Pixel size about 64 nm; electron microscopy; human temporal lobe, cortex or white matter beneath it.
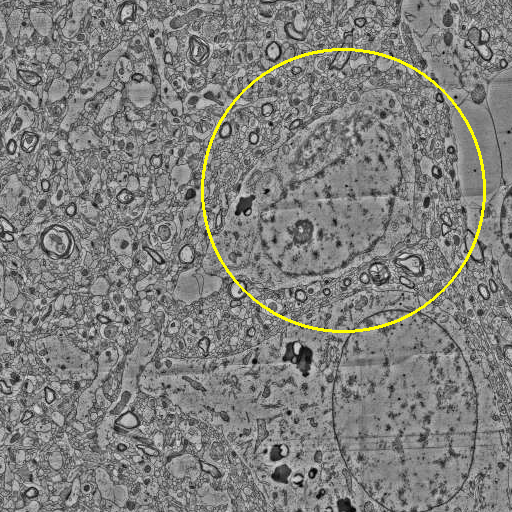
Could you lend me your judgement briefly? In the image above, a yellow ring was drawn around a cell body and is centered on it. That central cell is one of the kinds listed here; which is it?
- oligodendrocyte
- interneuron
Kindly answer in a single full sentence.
Going by the list, an interneuron is the kind at the ring's center in the picture.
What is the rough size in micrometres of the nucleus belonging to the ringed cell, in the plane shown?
In this plane the nucleus spans approximately 11 by 8 micrometers.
